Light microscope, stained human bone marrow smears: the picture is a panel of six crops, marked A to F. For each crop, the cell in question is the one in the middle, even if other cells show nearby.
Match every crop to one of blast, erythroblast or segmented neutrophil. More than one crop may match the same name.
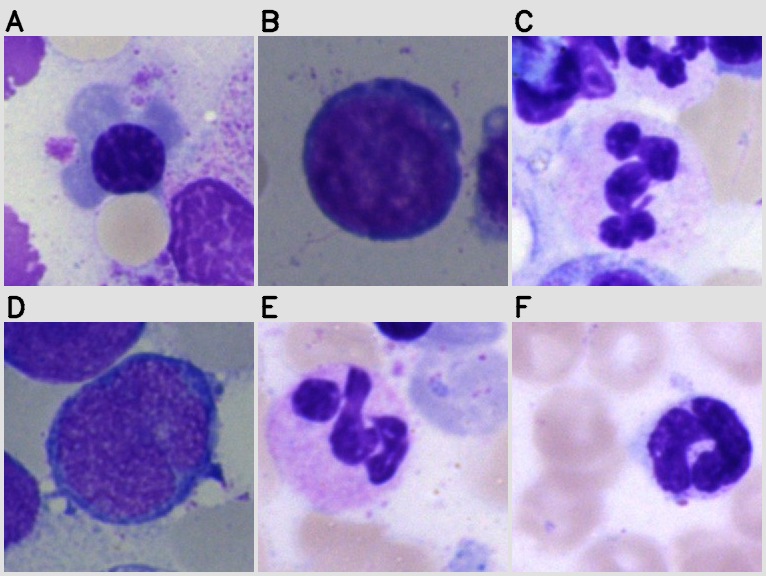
A: erythroblast
B: blast
C: segmented neutrophil
D: blast
E: segmented neutrophil
F: segmented neutrophil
